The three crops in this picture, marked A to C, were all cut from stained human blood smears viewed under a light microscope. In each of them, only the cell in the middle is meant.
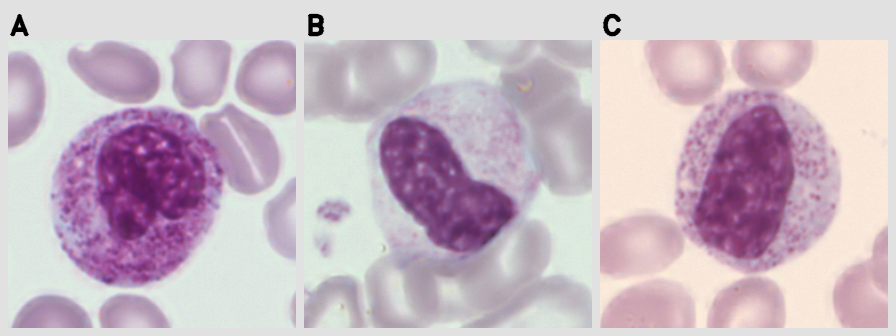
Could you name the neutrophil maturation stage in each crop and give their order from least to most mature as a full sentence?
Maturity increases along the sequence crop C (a myelocyte), crop B (a metamyelocyte) and crop A (a band neutrophil).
